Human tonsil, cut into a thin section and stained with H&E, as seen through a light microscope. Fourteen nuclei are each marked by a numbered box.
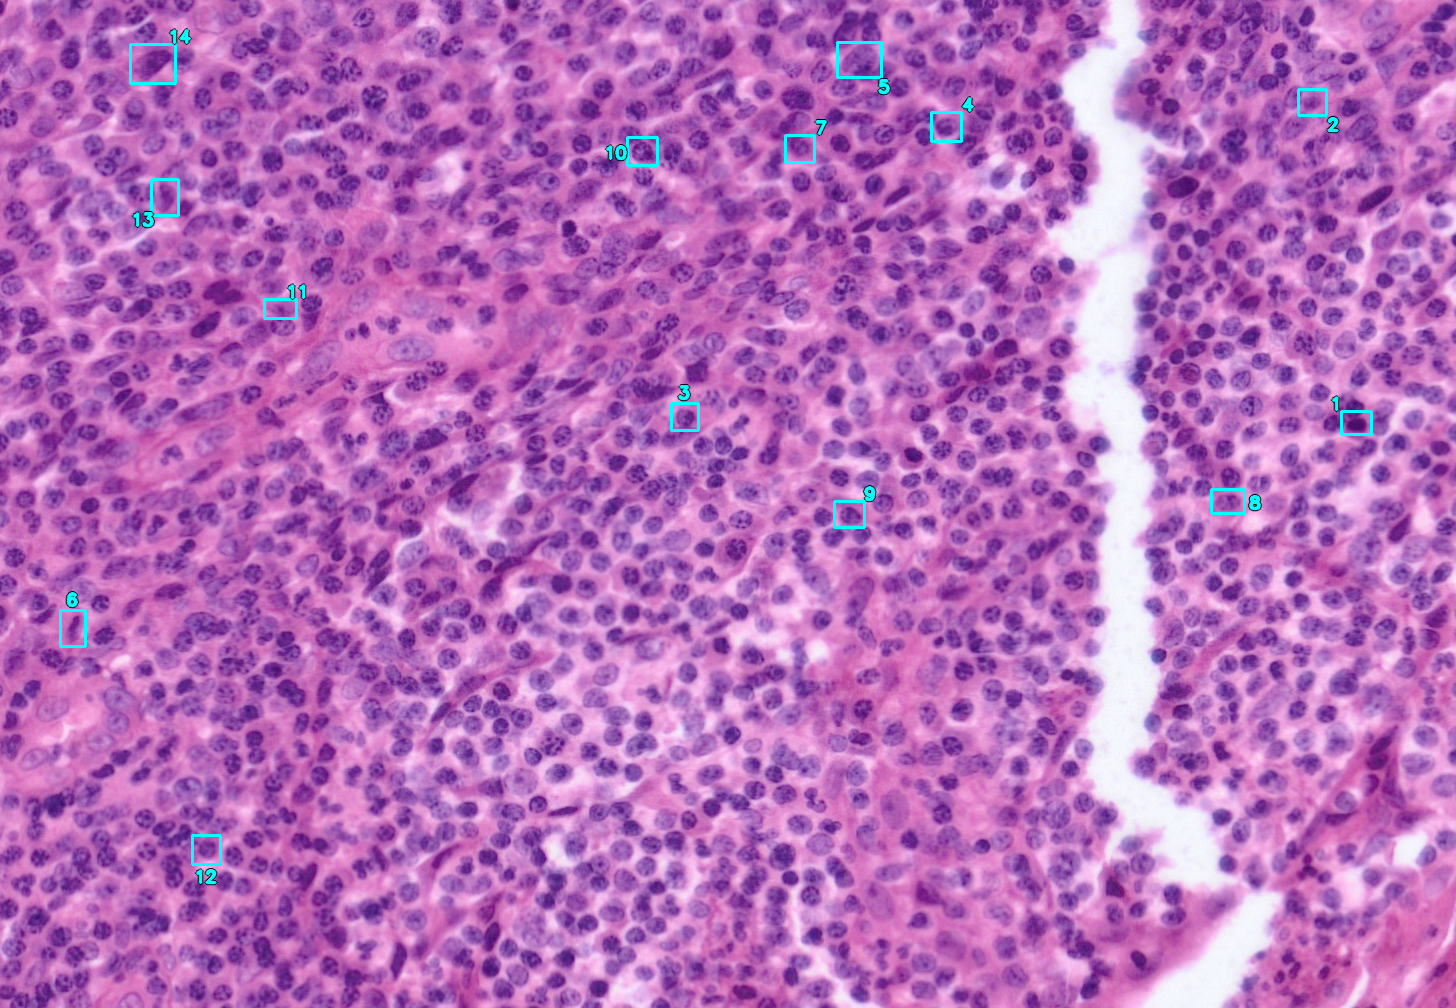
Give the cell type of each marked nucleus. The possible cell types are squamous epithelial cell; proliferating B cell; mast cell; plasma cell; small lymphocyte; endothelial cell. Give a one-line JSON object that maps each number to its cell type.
{"1": "plasma cell", "2": "squamous epithelial cell", "3": "plasma cell", "4": "plasma cell", "5": "squamous epithelial cell", "6": "squamous epithelial cell", "7": "plasma cell", "8": "plasma cell", "9": "plasma cell", "10": "plasma cell", "11": "squamous epithelial cell", "12": "plasma cell", "13": "squamous epithelial cell", "14": "squamous epithelial cell"}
